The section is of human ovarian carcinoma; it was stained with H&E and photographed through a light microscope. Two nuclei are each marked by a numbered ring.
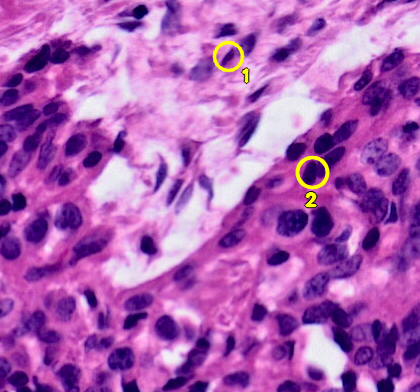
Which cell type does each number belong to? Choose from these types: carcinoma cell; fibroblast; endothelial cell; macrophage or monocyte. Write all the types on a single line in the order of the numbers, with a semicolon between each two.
fibroblast; carcinoma cell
